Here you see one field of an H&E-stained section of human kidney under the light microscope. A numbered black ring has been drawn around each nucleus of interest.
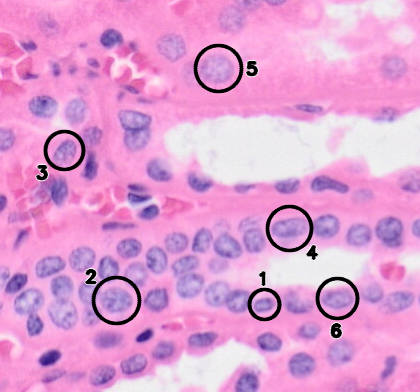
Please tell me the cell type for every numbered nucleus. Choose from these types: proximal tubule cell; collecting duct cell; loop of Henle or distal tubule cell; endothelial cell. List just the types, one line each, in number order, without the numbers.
collecting duct cell
collecting duct cell
loop of Henle or distal tubule cell
collecting duct cell
proximal tubule cell
collecting duct cell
